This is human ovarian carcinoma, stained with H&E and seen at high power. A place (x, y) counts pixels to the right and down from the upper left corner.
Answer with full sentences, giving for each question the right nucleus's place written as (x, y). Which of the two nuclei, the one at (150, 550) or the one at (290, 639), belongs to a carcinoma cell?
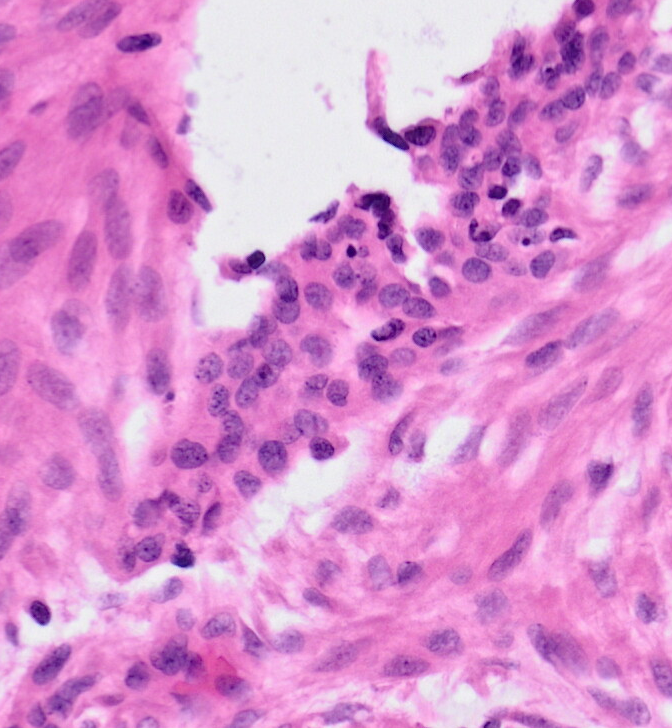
At (150, 550) lies the nucleus that belongs to a carcinoma cell.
